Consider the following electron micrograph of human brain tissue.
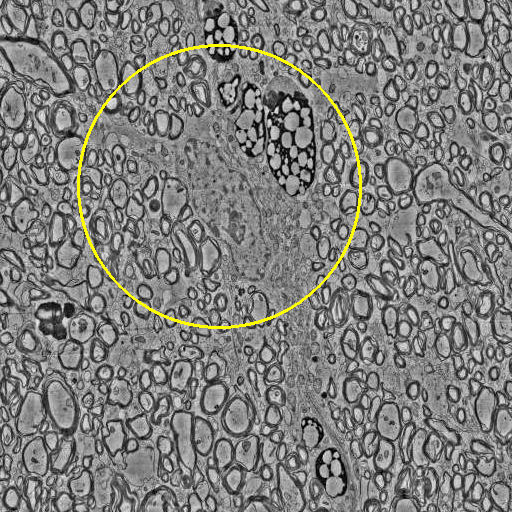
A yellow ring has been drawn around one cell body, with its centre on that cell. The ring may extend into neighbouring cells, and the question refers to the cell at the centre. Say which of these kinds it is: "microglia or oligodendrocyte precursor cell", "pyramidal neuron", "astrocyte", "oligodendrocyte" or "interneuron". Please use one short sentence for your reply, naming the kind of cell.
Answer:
The centre of the ring falls on an astrocyte.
